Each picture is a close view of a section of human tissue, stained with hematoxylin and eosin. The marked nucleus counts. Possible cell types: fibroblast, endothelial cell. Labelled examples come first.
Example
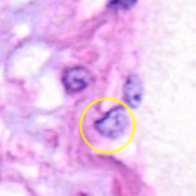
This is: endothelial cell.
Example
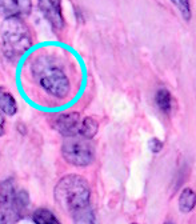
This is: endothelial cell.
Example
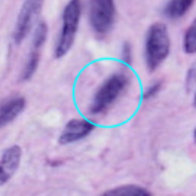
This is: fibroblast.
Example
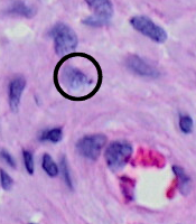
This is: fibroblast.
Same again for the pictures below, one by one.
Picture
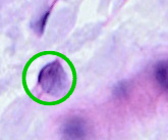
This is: fibroblast.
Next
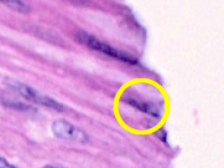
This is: fibroblast.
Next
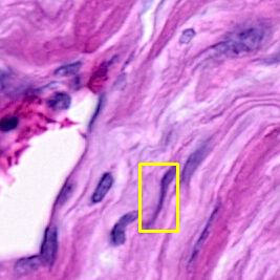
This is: fibroblast.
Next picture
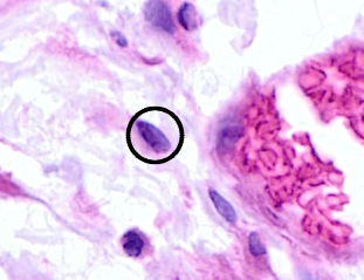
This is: fibroblast.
